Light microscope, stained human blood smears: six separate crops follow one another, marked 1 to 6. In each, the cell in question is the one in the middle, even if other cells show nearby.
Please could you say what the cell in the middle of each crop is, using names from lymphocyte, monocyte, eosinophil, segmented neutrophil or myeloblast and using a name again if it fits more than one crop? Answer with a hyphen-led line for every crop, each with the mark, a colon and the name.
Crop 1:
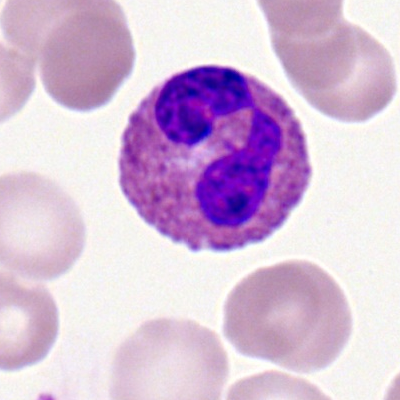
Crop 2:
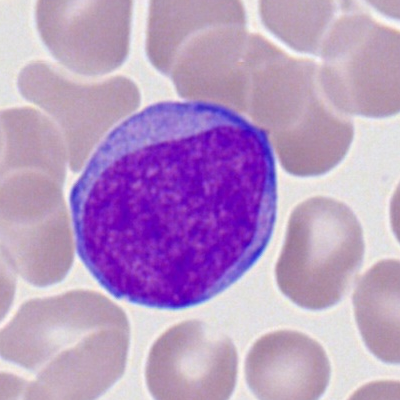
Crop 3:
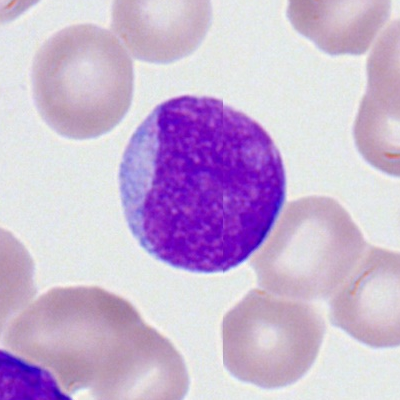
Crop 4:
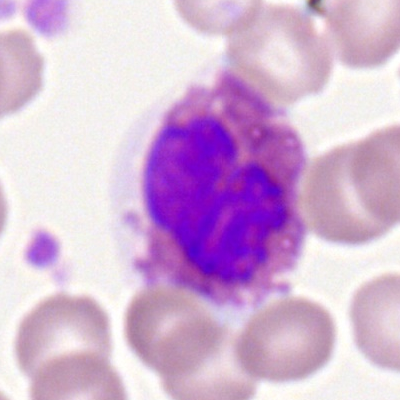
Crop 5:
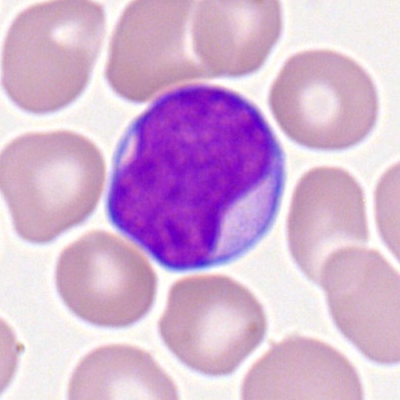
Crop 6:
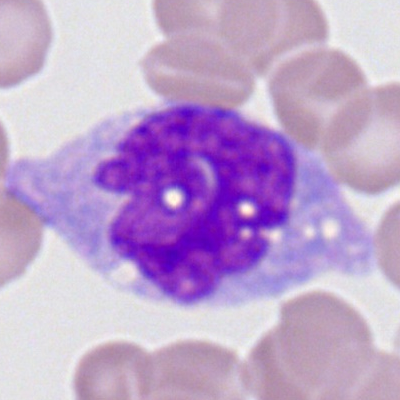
- 1: eosinophil
- 2: myeloblast
- 3: myeloblast
- 4: eosinophil
- 5: myeloblast
- 6: monocyte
